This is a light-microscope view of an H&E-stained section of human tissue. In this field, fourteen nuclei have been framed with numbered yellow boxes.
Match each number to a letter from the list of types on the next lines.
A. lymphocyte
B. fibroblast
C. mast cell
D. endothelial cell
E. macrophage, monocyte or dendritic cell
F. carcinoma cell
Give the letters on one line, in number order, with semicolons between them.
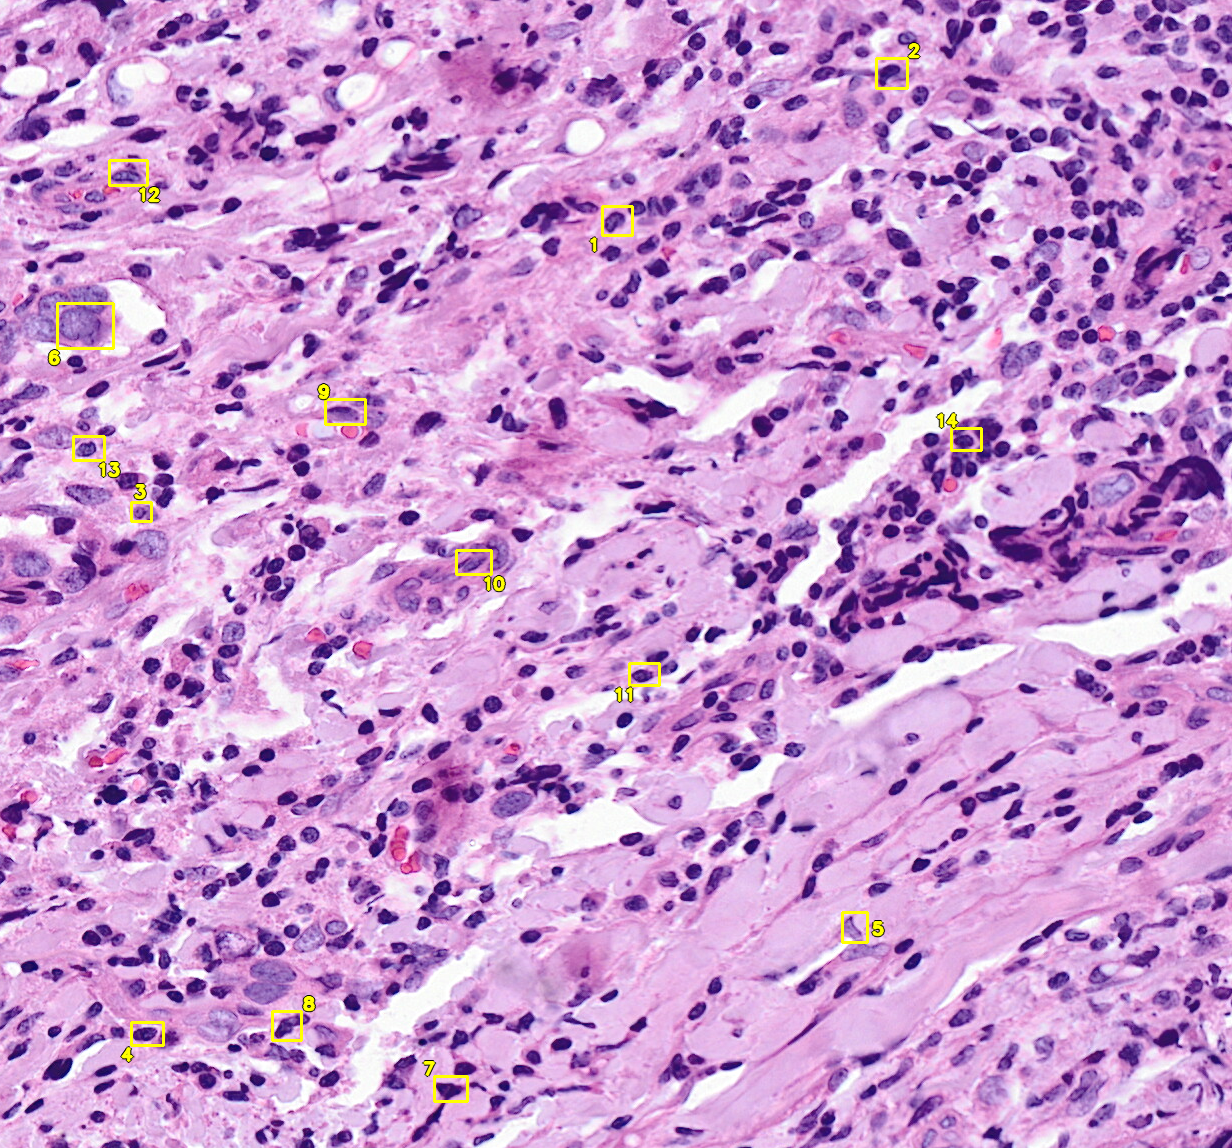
A; A; E; A; B; F; A; A; D; D; A; D; A; A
